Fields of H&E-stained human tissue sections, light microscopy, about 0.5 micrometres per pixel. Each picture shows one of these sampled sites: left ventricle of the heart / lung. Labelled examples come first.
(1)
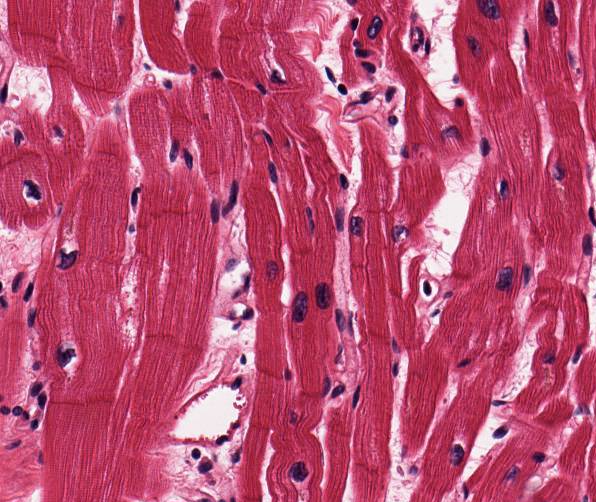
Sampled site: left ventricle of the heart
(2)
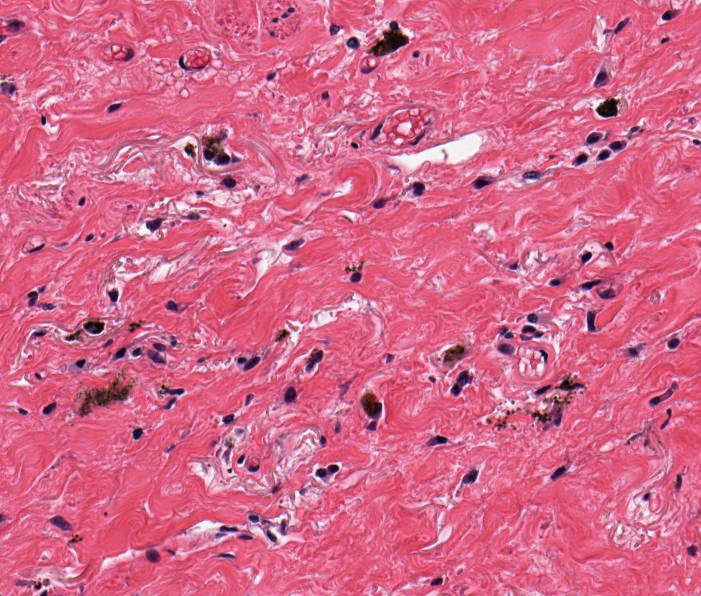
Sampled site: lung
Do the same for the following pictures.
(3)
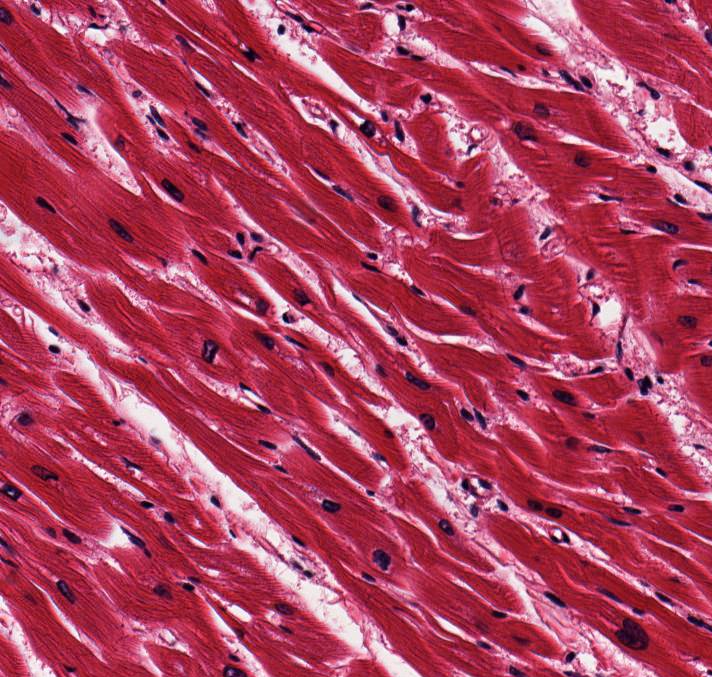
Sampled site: left ventricle of the heart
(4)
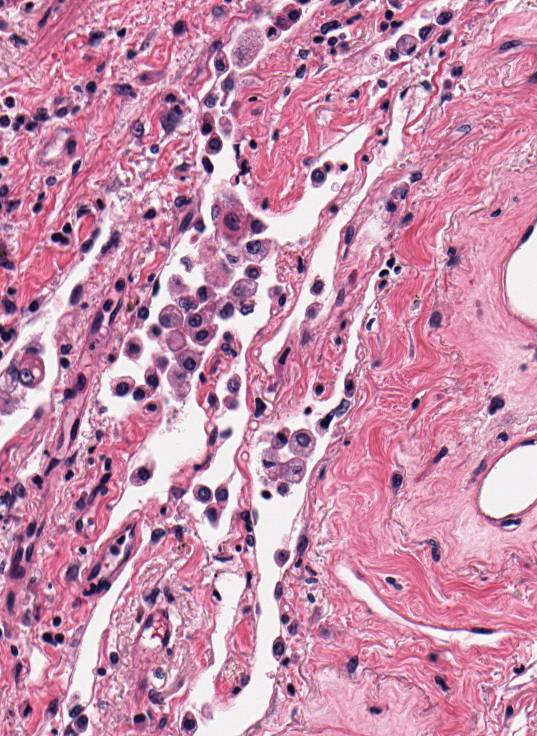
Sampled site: lung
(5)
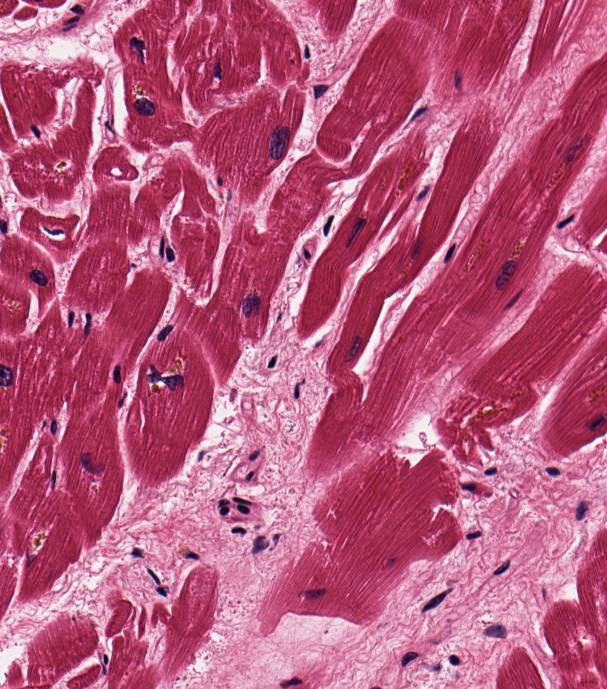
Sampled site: left ventricle of the heart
